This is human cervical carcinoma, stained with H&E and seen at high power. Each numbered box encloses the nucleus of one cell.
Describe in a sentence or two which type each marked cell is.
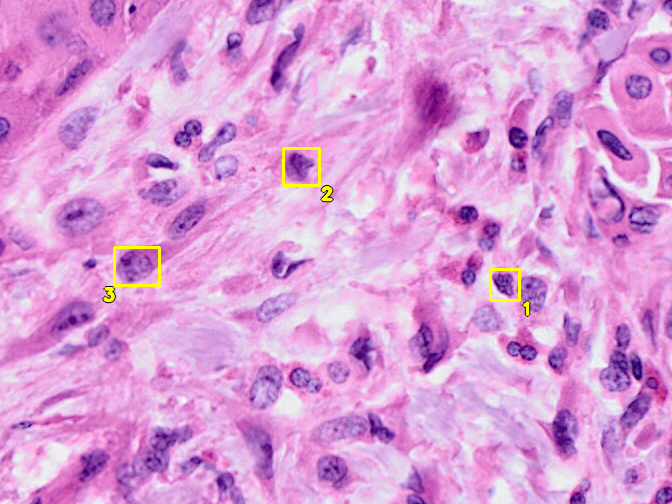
Cell 1 is a lymphocyte. Cell 2 is a macrophage or monocyte. Cell 3 is a fibroblast.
